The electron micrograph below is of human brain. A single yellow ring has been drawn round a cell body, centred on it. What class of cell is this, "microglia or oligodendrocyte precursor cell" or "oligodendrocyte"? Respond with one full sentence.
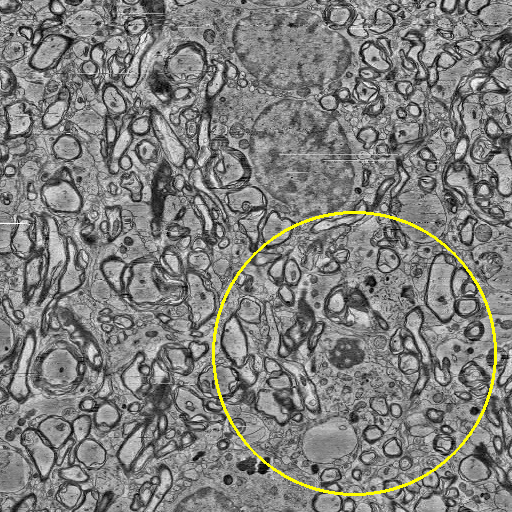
In the micrograph, the cell centred inside the yellow ring is a microglial cell or oligodendrocyte precursor cell.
